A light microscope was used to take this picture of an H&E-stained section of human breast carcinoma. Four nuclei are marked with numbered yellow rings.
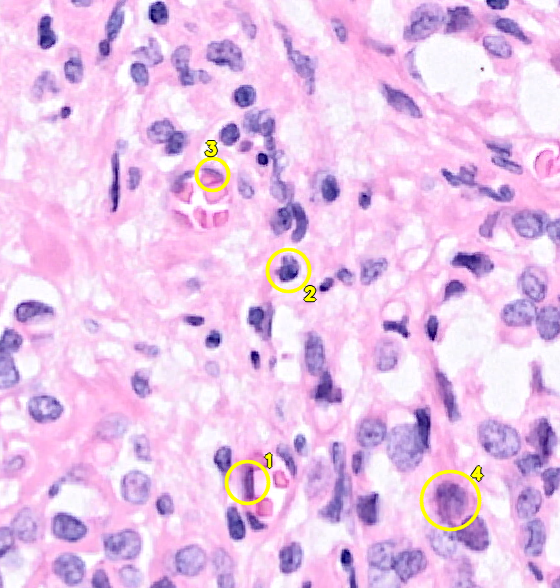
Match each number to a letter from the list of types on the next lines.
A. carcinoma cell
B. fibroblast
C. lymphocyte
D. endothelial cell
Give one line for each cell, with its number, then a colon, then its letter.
1: D
2: C
3: D
4: A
